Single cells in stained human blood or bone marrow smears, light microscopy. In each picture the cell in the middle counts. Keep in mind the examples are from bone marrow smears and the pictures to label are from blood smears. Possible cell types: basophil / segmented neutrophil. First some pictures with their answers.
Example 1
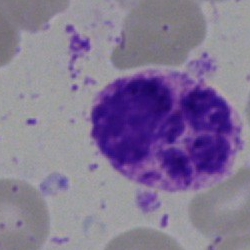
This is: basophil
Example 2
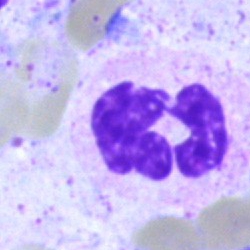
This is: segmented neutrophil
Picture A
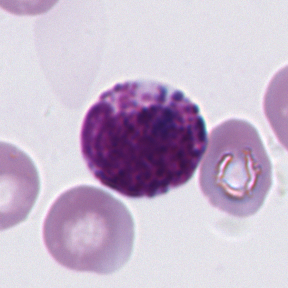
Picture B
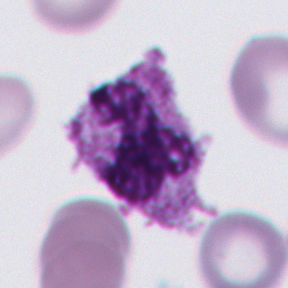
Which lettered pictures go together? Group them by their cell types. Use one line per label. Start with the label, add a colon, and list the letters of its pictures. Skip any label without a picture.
basophil: A, B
